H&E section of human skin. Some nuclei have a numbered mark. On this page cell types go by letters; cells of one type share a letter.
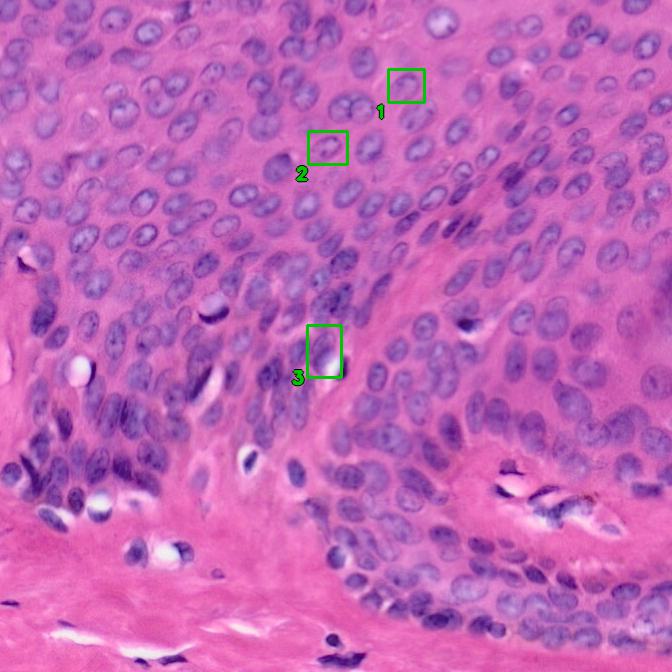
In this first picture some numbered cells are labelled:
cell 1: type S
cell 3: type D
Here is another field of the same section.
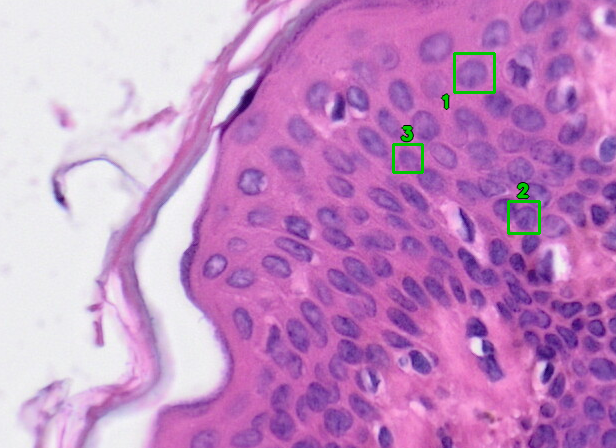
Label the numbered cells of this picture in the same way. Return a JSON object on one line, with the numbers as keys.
{"1": "type S", "2": "type D", "3": "type S"}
